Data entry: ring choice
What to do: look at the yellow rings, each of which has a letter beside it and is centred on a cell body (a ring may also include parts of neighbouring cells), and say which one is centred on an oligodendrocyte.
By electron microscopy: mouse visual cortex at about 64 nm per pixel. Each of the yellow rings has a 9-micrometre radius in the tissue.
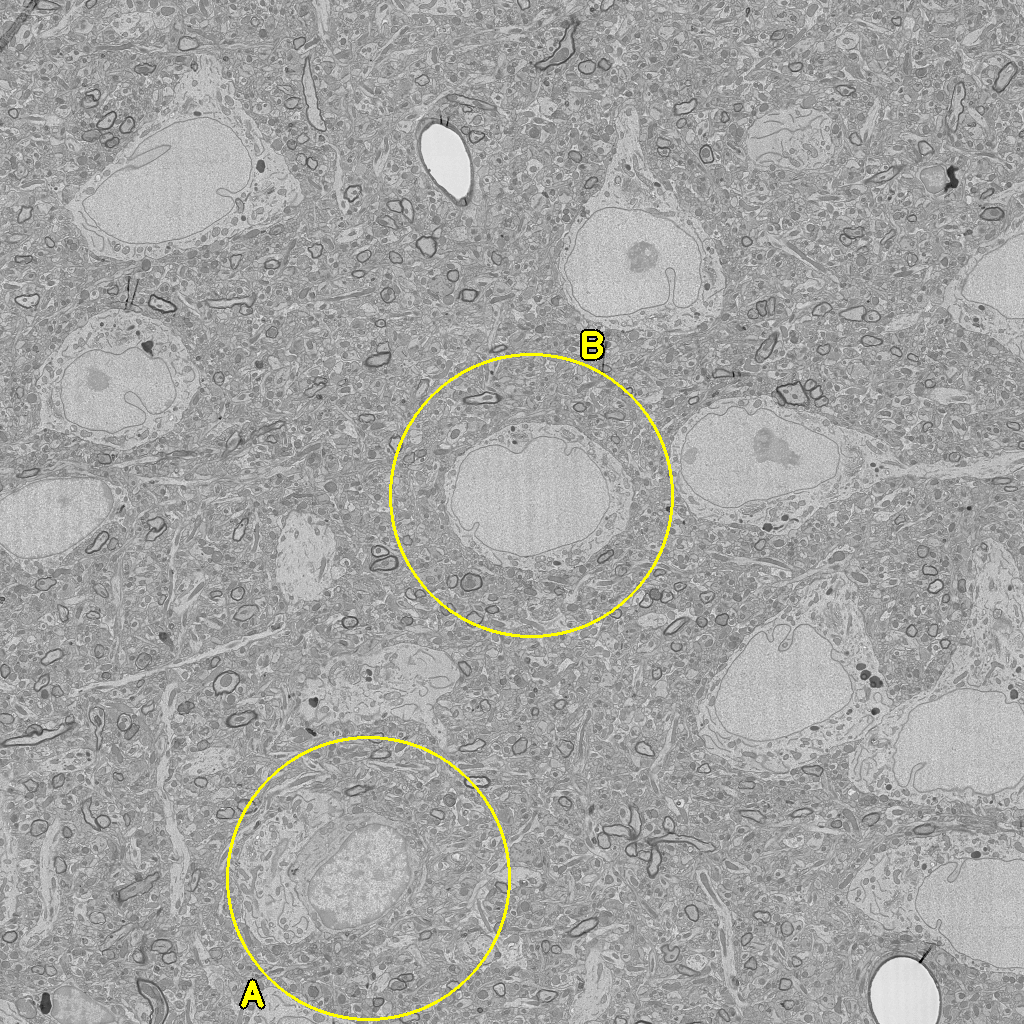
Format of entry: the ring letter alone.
A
